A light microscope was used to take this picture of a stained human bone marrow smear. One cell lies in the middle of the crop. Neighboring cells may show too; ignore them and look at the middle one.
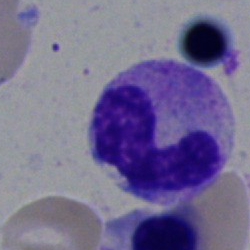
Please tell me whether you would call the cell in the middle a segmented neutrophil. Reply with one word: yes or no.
no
